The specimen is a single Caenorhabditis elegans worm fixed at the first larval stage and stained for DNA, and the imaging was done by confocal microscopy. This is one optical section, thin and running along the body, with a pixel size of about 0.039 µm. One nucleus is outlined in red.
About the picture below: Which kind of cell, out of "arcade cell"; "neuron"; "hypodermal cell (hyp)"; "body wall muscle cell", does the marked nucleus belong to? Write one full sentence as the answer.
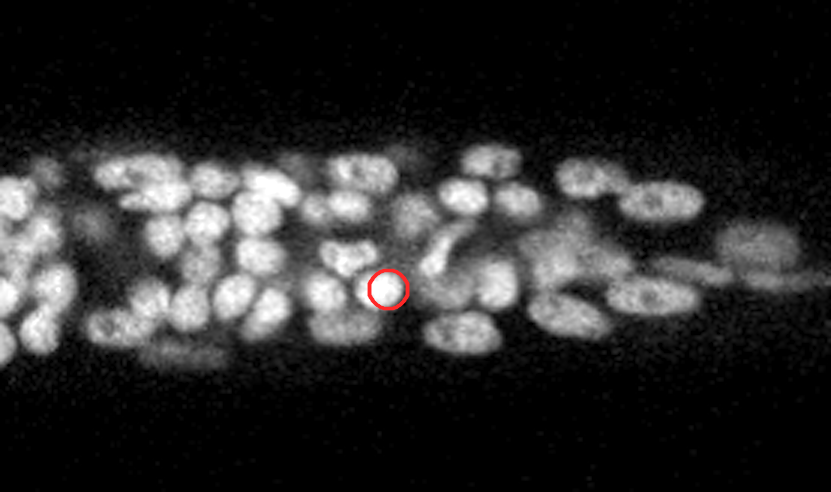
The marked nucleus belongs to a neuron.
